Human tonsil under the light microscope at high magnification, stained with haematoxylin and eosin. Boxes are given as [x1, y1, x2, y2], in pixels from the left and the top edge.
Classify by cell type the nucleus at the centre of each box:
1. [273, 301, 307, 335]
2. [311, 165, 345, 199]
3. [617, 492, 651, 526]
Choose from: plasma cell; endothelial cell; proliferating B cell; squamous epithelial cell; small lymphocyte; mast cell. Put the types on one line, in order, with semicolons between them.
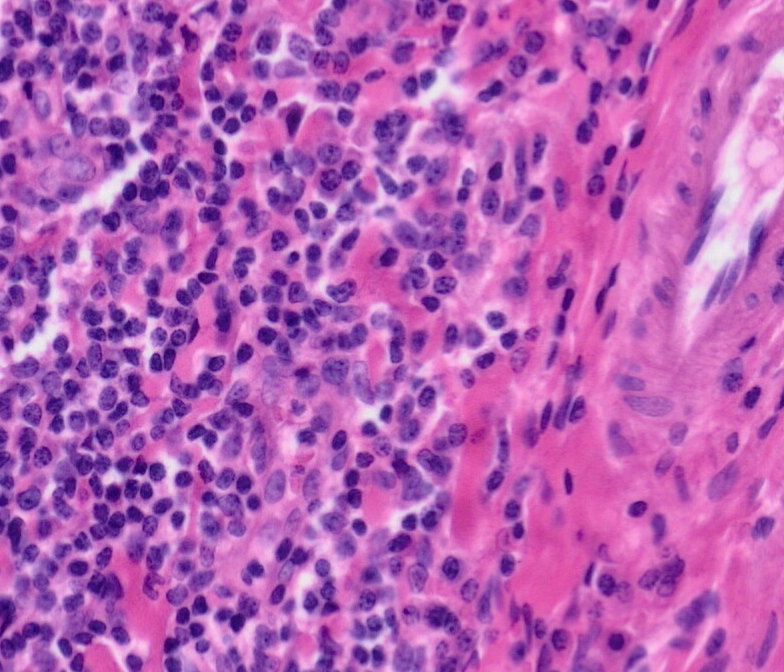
small lymphocyte; plasma cell; mast cell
